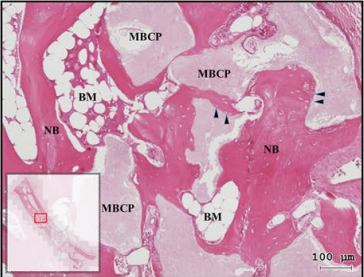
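This is healing bone, stained with hematoxylin and eosin, where new bone has grown around pieces of a scaffold. The new bone is the deep pink, solid tissue with small dark nuclei of cells sitting in spaces within it. The scaffold pieces are pale, washed-out pink, glassy areas with no cells inside. Between bone trabeculae lie spaces filled with bone marrow: many round empty holes left by fat cells, with small clusters of dark nuclei between them.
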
